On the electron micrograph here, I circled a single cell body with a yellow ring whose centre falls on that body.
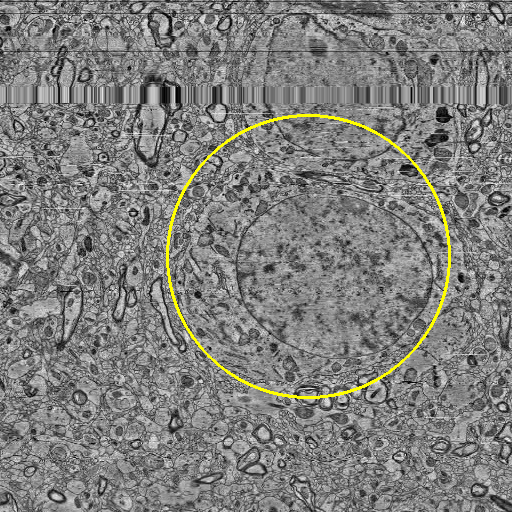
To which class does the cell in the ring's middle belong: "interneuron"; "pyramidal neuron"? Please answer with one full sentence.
In this picture, the cell body circled at the ring's centre belongs to an interneuron.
